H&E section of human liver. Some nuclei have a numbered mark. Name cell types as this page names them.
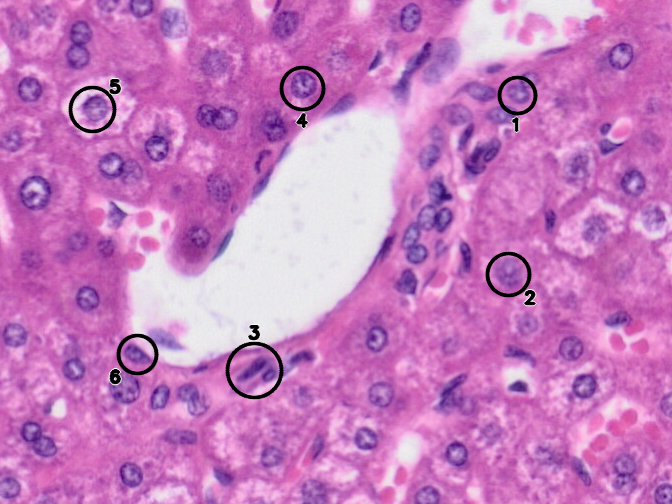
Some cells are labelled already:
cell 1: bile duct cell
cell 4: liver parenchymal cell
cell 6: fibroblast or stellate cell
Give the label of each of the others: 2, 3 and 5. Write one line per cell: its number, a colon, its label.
2: liver parenchymal cell
3: fibroblast or stellate cell
5: liver parenchymal cell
